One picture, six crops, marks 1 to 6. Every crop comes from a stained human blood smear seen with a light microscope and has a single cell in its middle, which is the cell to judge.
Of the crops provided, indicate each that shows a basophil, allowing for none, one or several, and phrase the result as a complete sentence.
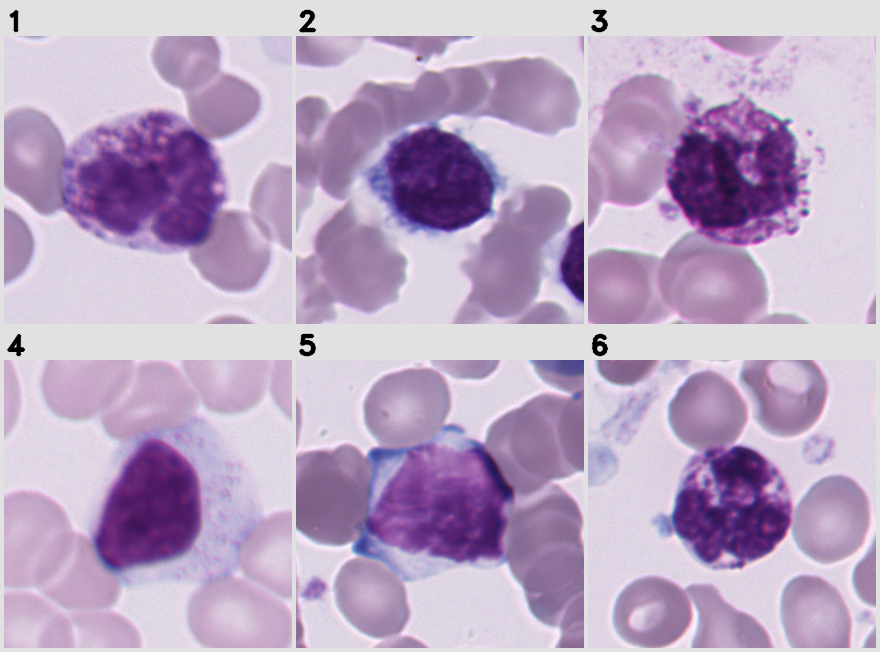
For crops 1, 3 and 6, the central cells are basophils.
